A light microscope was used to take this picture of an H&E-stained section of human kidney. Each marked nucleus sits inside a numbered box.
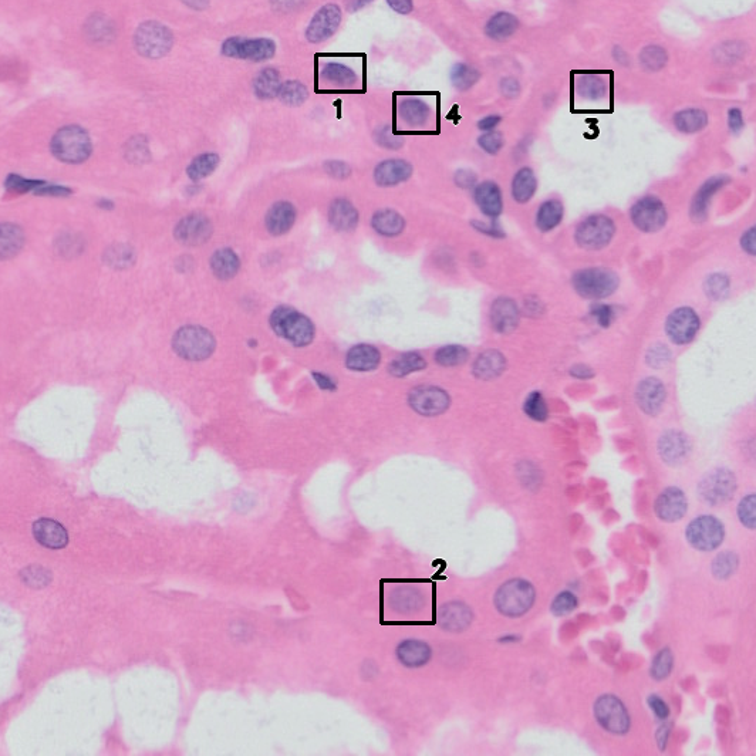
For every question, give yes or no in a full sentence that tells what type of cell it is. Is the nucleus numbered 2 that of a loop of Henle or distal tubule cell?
No, that is wrong: cell 2 is a proximal tubule cell, and not a loop of Henle or distal tubule cell.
